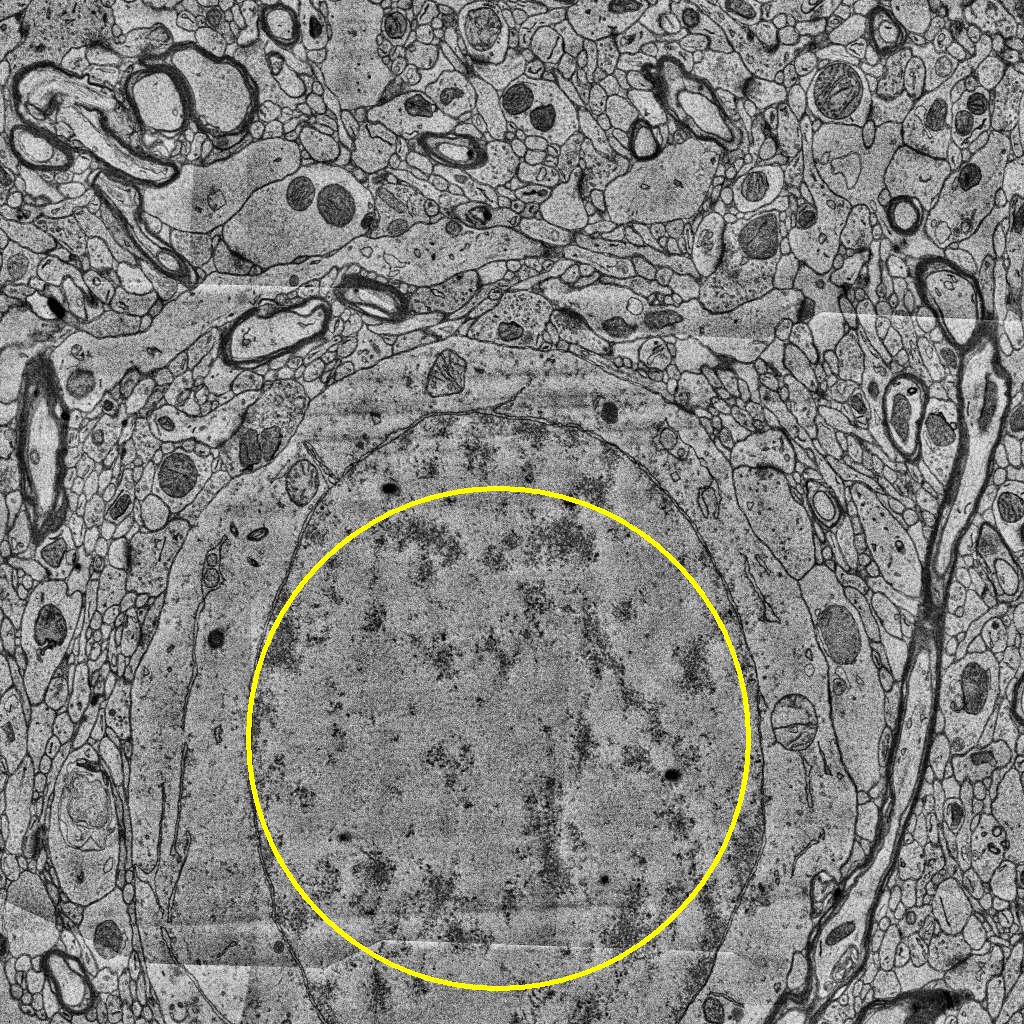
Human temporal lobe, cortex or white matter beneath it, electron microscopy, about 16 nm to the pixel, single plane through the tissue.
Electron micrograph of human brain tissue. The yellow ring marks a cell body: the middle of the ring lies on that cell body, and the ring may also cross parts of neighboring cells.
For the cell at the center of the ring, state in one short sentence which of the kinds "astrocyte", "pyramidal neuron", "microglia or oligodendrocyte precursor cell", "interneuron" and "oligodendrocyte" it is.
This ring's center lies on a pyramidal neuron.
